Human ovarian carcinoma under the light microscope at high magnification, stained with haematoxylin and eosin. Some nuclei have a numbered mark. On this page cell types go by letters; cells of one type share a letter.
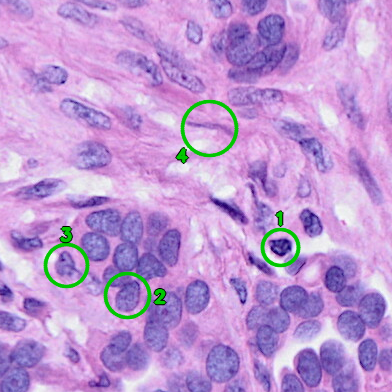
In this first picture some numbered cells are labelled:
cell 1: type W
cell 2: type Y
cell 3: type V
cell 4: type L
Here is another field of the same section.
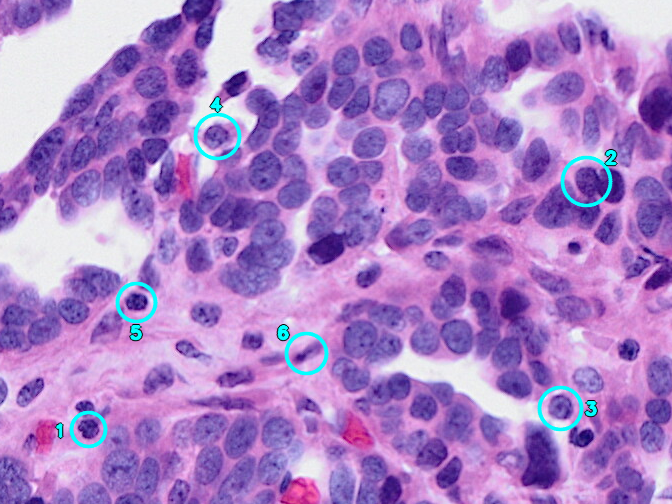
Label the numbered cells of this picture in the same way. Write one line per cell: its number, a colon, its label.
1: type W
2: type Y
3: type V
4: type V
5: type W
6: type L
